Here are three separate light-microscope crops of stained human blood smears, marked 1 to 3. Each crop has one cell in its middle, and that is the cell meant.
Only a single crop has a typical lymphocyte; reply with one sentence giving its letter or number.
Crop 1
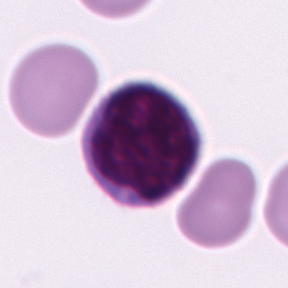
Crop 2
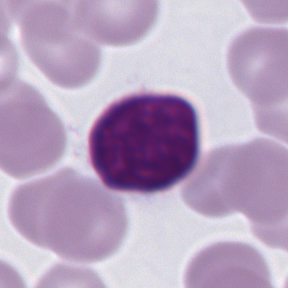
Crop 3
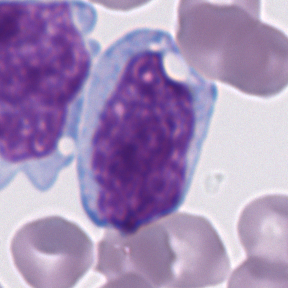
Crop 1 is the crop in which a typical lymphocyte is shown.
